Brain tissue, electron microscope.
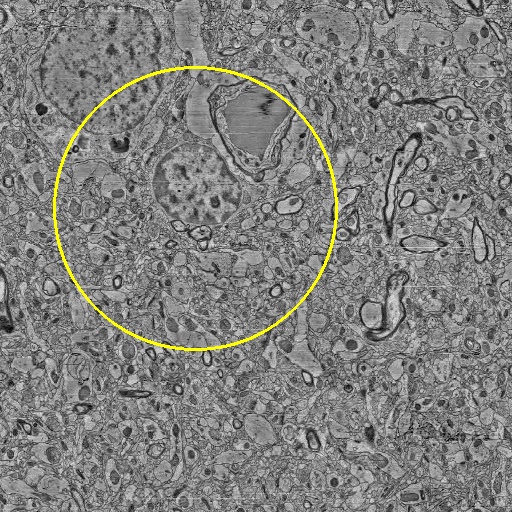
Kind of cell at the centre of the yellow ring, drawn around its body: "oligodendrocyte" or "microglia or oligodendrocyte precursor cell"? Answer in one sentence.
The ring's centre falls on an oligodendrocyte.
